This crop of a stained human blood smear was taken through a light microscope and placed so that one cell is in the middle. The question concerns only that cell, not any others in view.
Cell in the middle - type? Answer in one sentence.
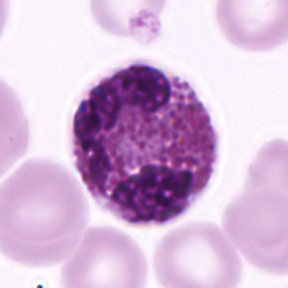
In this crop, the cell at the very middle is an eosinophil.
